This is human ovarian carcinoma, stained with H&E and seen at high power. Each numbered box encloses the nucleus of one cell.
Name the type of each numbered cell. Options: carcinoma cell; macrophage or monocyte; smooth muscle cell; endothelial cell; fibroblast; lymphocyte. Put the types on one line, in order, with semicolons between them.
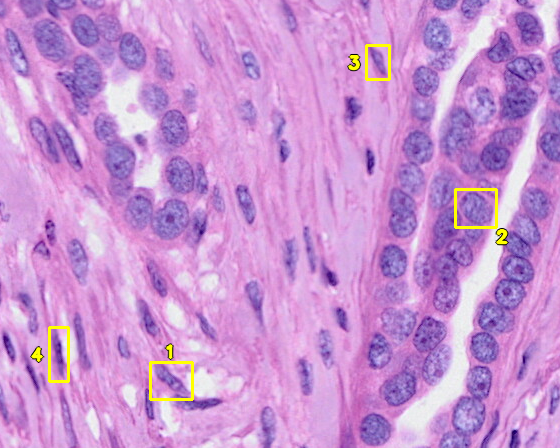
fibroblast; carcinoma cell; fibroblast; fibroblast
